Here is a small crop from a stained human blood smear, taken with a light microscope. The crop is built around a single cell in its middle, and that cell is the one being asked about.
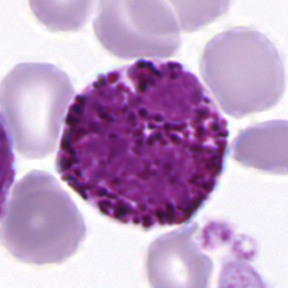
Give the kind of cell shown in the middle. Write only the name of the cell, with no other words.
basophil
